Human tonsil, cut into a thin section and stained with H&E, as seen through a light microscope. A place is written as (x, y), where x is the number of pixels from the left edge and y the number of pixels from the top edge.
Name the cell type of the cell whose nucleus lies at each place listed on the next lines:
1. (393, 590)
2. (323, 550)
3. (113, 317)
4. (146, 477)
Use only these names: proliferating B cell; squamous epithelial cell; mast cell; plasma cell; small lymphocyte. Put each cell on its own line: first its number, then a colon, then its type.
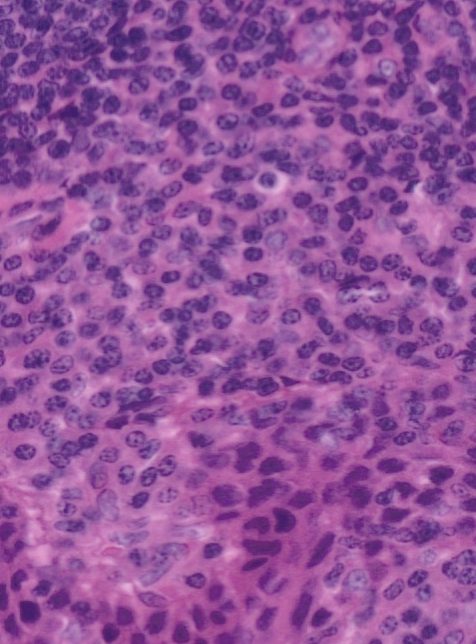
1: plasma cell
2: squamous epithelial cell
3: plasma cell
4: plasma cell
